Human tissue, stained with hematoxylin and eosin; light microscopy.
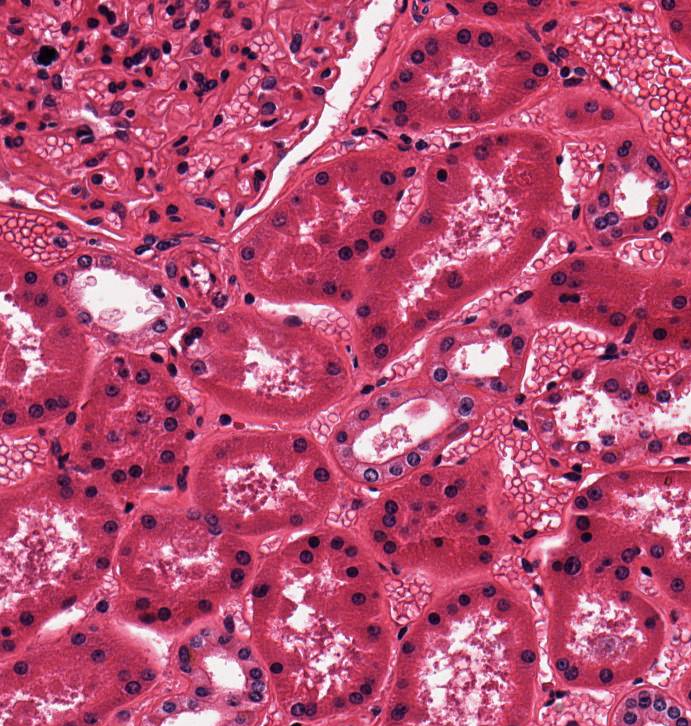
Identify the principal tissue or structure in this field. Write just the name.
cortical labyrinth of the kidney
